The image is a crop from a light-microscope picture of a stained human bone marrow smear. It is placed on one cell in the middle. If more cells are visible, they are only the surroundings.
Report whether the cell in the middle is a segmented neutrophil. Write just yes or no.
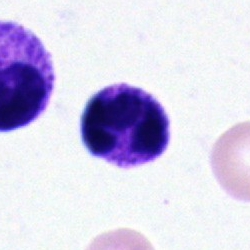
yes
